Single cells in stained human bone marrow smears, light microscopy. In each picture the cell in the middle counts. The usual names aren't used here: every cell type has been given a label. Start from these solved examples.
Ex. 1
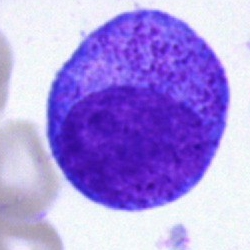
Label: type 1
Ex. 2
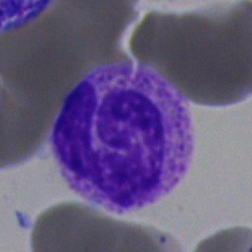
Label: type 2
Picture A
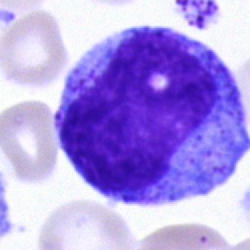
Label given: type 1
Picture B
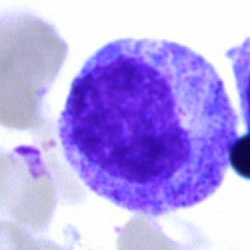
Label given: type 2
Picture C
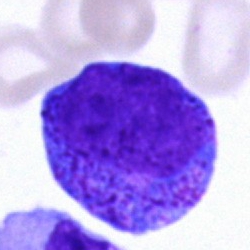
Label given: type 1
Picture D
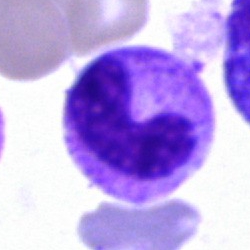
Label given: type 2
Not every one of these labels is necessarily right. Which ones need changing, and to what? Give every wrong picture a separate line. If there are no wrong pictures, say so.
B is labelled type 2; correct label: type 1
